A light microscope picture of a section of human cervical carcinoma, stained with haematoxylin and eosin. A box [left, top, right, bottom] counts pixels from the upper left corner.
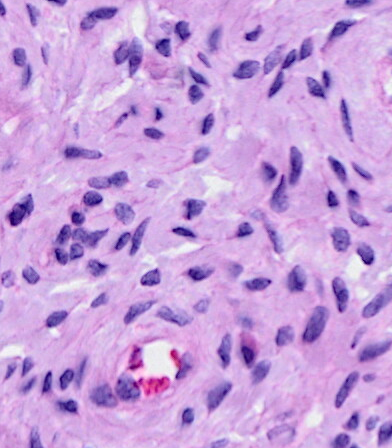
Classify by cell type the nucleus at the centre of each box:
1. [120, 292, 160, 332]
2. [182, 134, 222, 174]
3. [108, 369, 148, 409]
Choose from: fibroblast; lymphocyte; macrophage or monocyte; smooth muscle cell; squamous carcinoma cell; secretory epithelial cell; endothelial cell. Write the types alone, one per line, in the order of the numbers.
fibroblast
fibroblast
endothelial cell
